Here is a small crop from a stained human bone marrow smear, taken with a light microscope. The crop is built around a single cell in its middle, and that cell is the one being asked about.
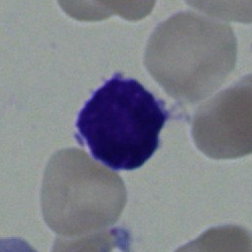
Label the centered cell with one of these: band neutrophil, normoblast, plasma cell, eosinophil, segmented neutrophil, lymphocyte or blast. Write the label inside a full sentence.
Whatever else lies nearby, the middle cell is a lymphocyte.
